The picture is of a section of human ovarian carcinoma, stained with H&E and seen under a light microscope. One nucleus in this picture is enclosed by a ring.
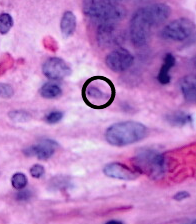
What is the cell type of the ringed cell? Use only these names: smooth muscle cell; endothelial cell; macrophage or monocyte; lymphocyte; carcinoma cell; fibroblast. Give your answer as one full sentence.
As classified here, the ringed cell is a macrophage or monocyte.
